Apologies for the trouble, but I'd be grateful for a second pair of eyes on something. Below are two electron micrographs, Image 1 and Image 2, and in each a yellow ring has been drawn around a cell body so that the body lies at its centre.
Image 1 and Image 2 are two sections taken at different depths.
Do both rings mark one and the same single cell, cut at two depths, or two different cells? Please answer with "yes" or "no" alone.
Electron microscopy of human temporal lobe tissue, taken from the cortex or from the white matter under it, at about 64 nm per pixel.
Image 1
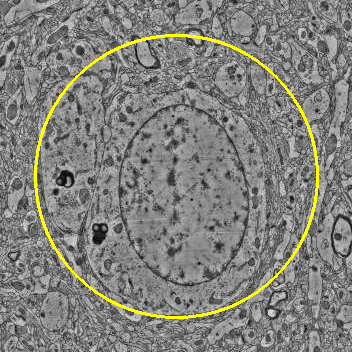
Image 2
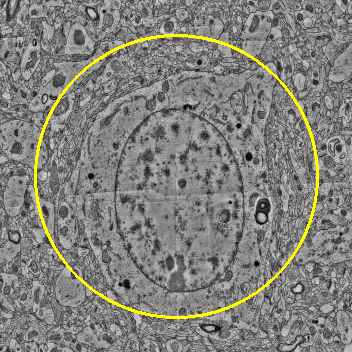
yes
